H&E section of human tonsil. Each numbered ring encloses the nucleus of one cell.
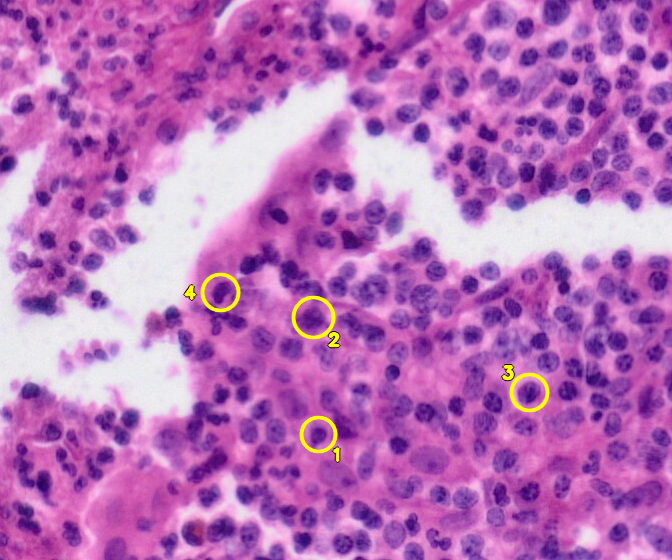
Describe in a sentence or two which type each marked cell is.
Cells 1, 2 and 4 are squamous epithelial cells. Cell 3 is a plasma cell.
